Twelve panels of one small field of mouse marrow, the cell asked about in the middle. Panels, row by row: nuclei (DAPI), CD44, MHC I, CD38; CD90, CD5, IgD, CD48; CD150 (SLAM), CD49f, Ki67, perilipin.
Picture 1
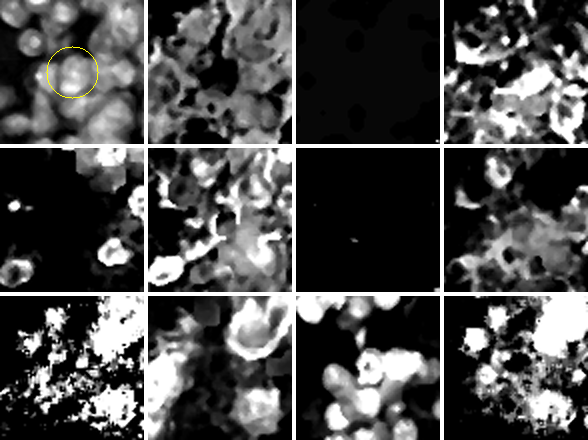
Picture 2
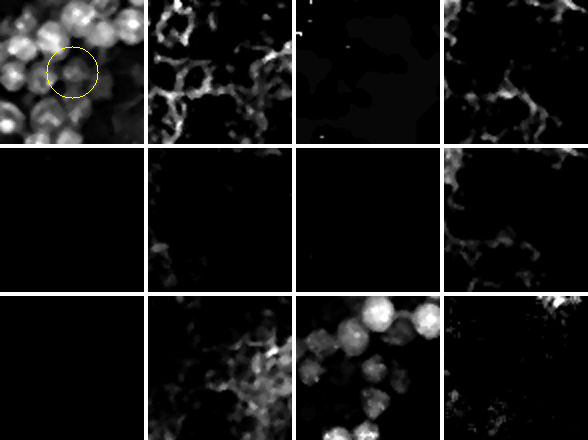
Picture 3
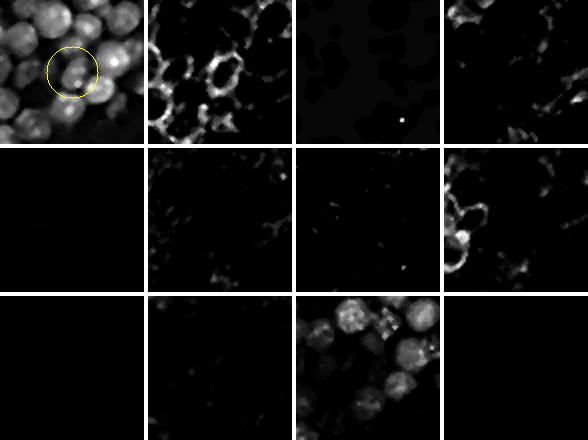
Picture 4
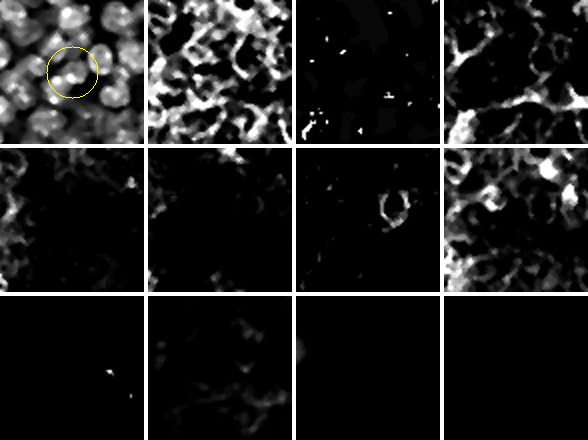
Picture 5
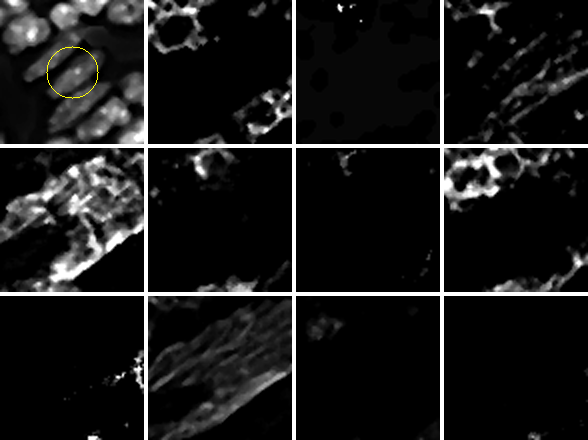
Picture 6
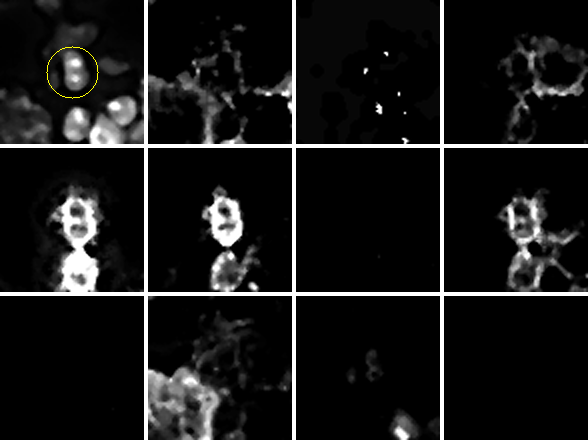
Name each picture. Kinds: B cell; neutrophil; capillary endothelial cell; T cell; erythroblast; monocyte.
1. monocyte
2. erythroblast
3. neutrophil
4. neutrophil
5. capillary endothelial cell
6. T cell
